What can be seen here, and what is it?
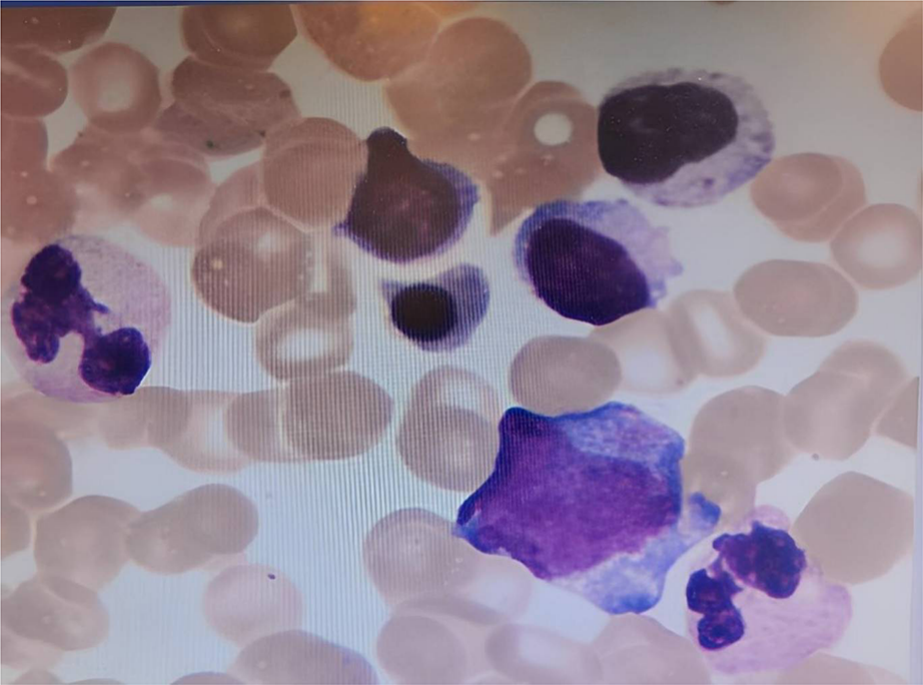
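This is a bone marrow smear in which scattered nucleated marrow cells lie among many pale pink, round red blood cells. On the left and at the lower right are cells with nuclei split into several dark purple lobes inside pale pink cytoplasm. Near the centre is a small cell with a round, very dark, dense nucleus and a rim of bluish cytoplasm. Larger cells with oval, dark purple nuclei and bluish cytoplasm sit toward the top. At the lower centre lies the largest cell, with an irregular, knobbly outline, purple granular-looking substance and deep blue cytoplasm at its edges.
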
